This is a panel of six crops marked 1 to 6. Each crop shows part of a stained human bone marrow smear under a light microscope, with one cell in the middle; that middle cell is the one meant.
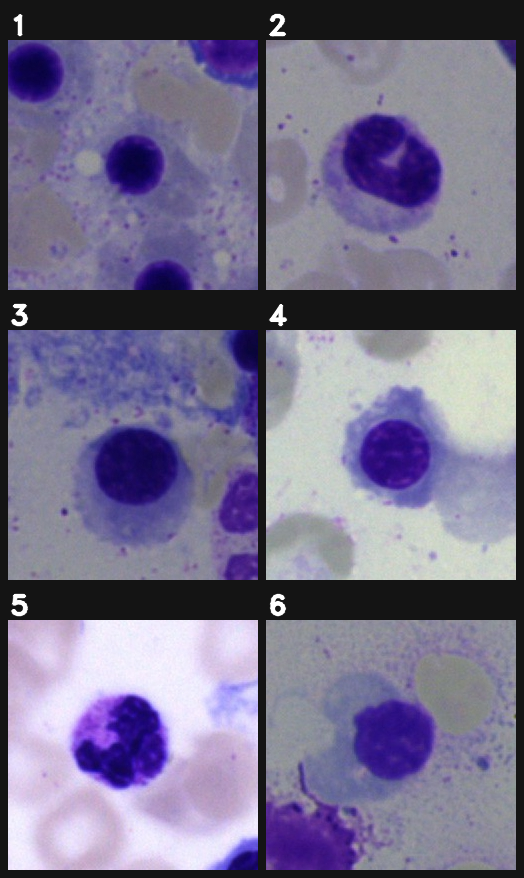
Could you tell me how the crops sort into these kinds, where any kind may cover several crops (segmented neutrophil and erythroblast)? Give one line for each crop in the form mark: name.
1: erythroblast
2: segmented neutrophil
3: erythroblast
4: erythroblast
5: segmented neutrophil
6: erythroblast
